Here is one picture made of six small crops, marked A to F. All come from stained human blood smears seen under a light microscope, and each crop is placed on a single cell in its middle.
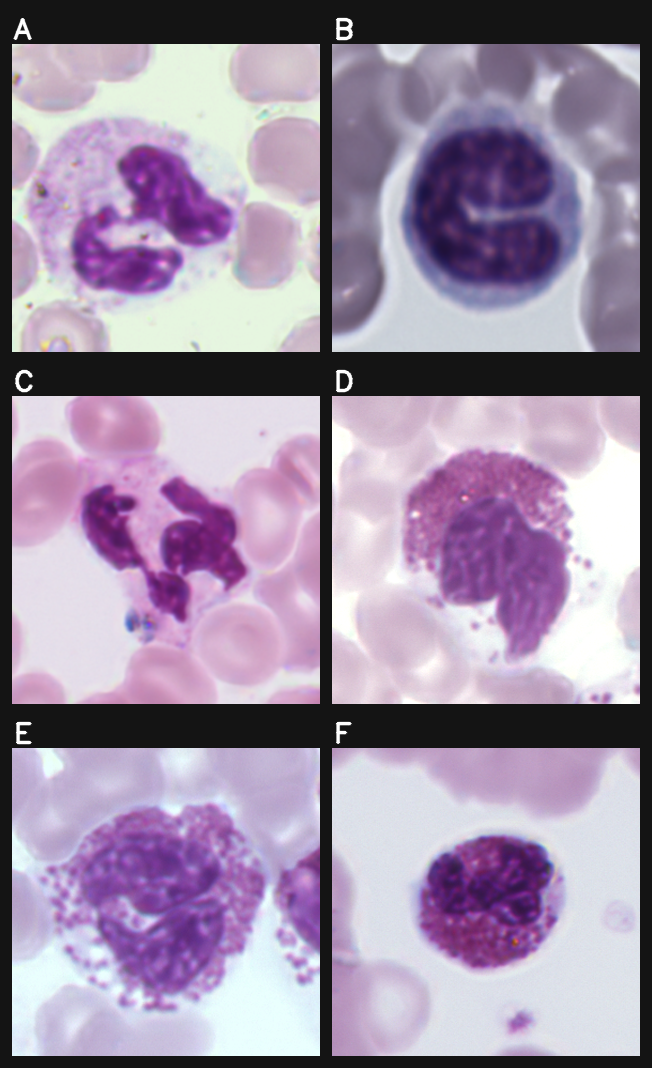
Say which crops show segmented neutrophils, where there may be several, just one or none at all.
A, C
